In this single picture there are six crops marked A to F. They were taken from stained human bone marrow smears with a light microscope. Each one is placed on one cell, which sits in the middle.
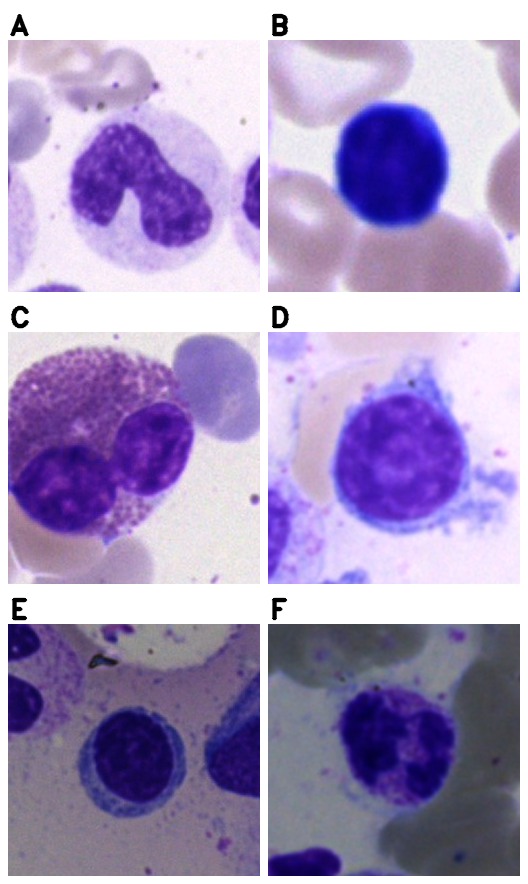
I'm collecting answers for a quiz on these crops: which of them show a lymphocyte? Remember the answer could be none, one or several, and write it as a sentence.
Crops B, D and E show lymphocytes as their centred cells.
